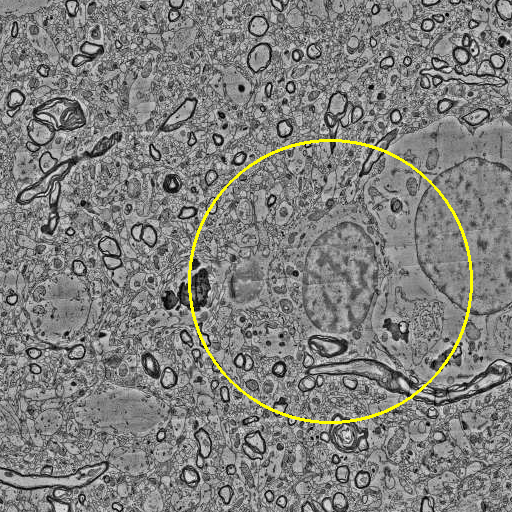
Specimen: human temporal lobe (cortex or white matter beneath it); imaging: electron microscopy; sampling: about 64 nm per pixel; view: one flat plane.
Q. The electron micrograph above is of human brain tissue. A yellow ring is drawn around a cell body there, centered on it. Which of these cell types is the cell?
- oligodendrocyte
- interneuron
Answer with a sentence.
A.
The cell under the ring's center is an oligodendrocyte.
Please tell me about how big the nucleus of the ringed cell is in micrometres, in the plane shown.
Approximately 7 x 5 micrometres in this plane.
